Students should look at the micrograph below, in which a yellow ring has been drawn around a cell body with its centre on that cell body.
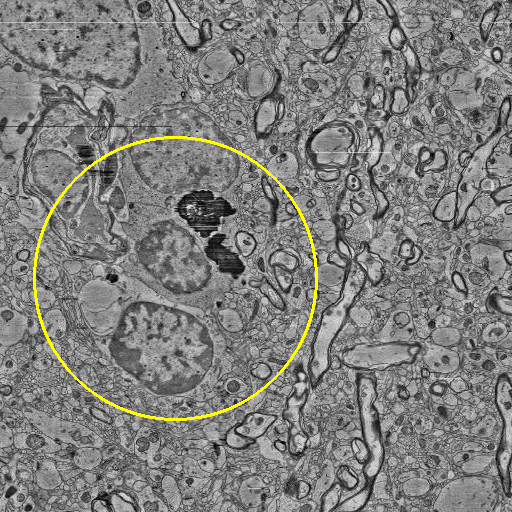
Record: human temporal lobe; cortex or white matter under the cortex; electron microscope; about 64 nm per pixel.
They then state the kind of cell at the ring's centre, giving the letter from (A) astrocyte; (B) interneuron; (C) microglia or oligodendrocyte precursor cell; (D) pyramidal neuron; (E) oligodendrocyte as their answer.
E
